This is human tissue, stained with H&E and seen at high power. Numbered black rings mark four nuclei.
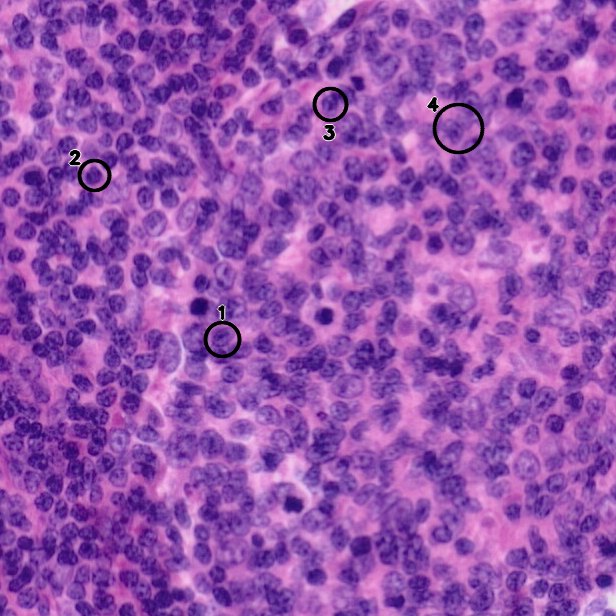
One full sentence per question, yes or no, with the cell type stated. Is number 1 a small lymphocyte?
No, the marked cell 1 is not a small lymphocyte, being instead a proliferating B cell.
